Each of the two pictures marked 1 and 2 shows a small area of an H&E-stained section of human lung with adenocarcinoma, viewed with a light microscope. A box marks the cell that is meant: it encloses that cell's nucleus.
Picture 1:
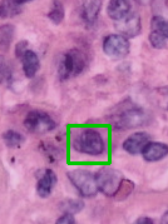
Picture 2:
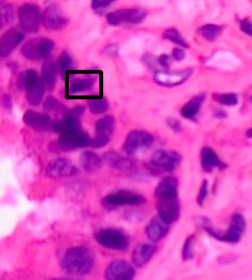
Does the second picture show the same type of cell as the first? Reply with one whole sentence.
No. Picture 1 shows a plasma cell, but picture 2 shows a ciliated epithelial cell.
